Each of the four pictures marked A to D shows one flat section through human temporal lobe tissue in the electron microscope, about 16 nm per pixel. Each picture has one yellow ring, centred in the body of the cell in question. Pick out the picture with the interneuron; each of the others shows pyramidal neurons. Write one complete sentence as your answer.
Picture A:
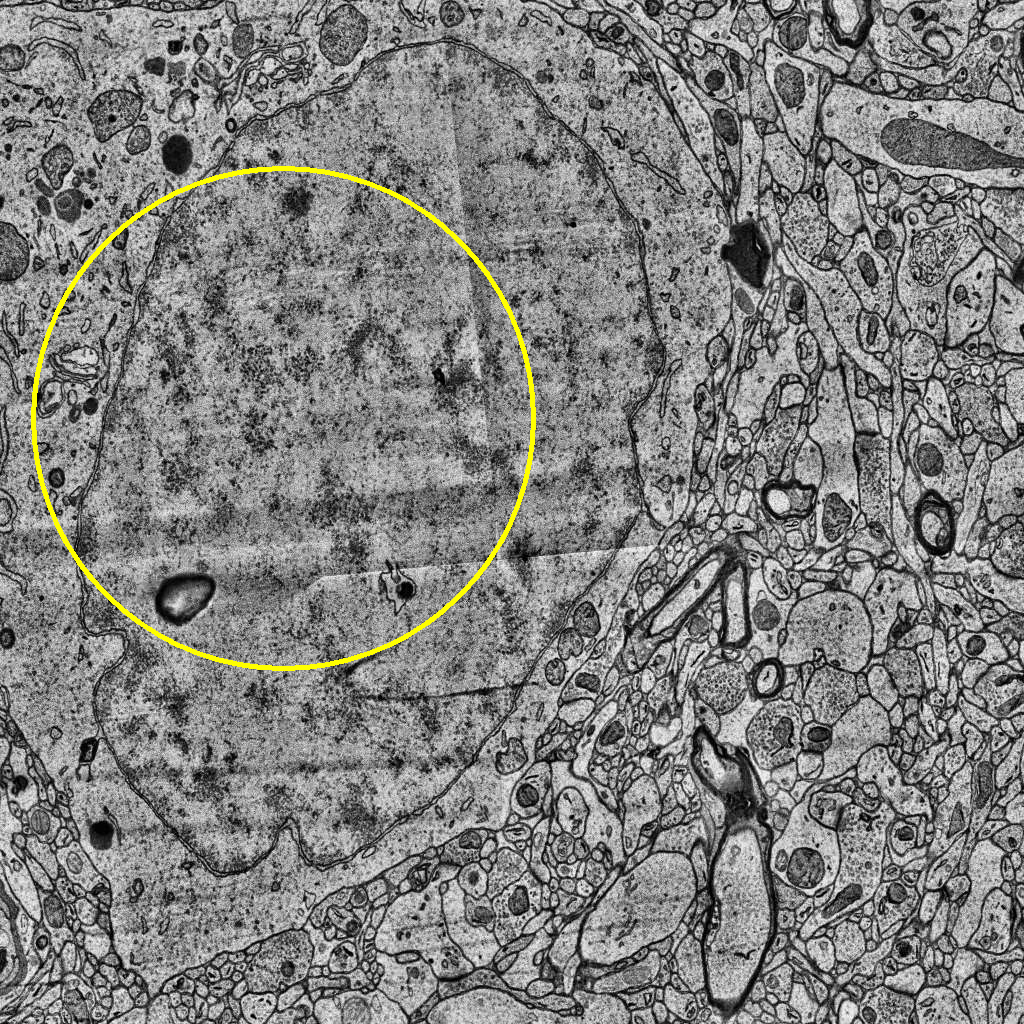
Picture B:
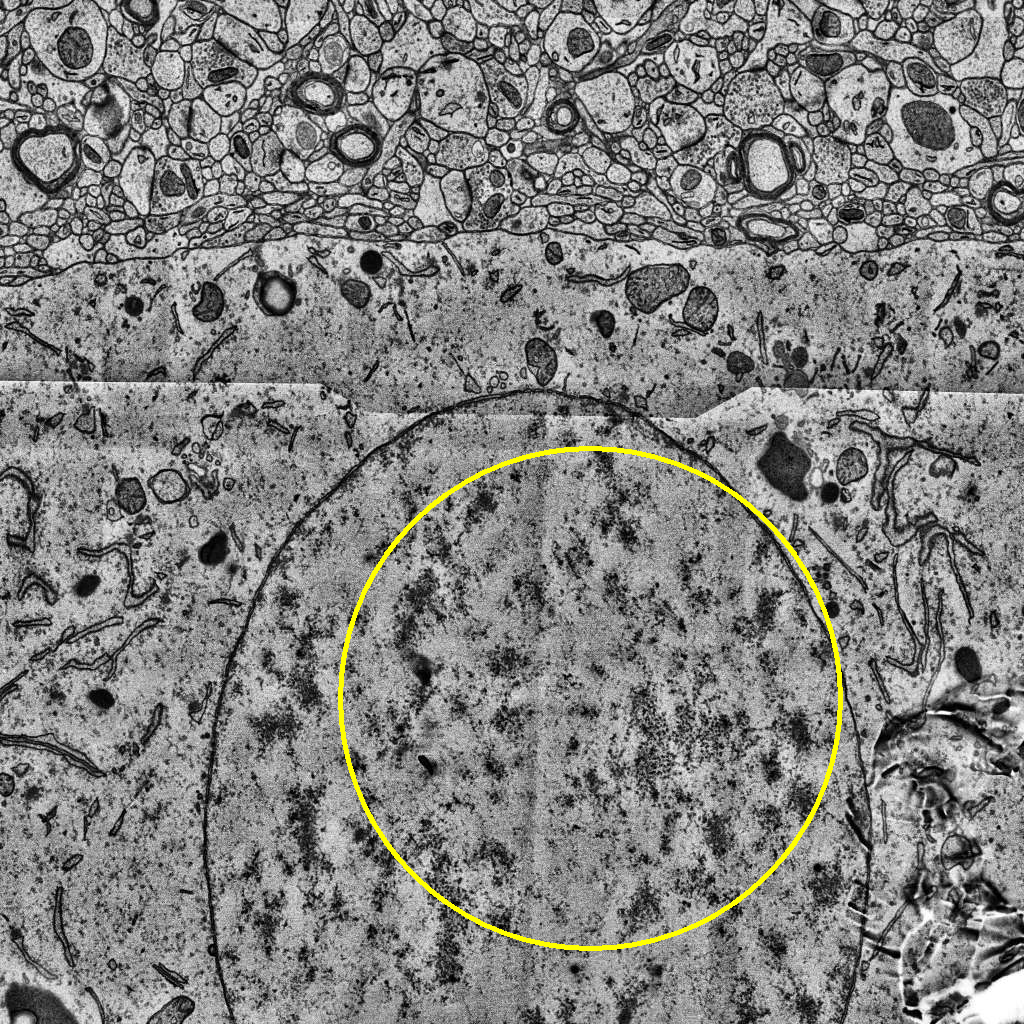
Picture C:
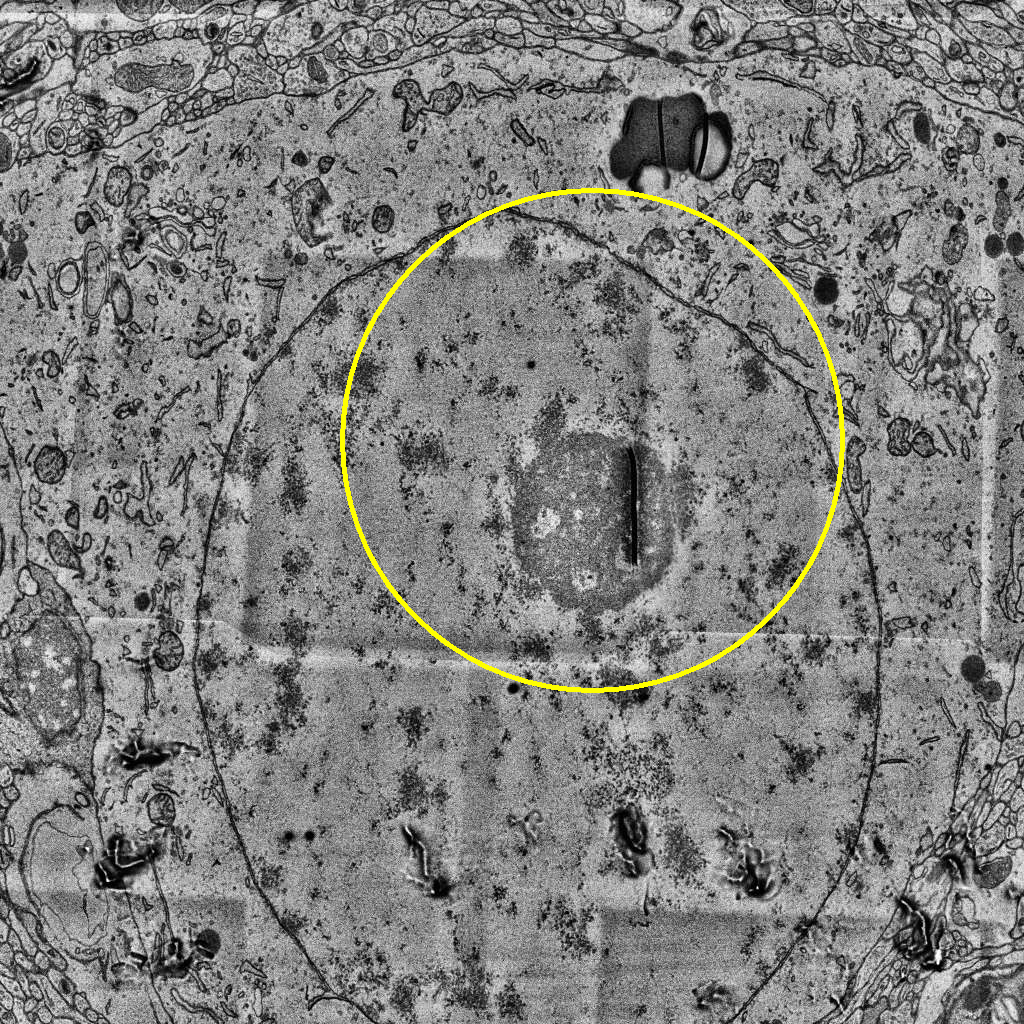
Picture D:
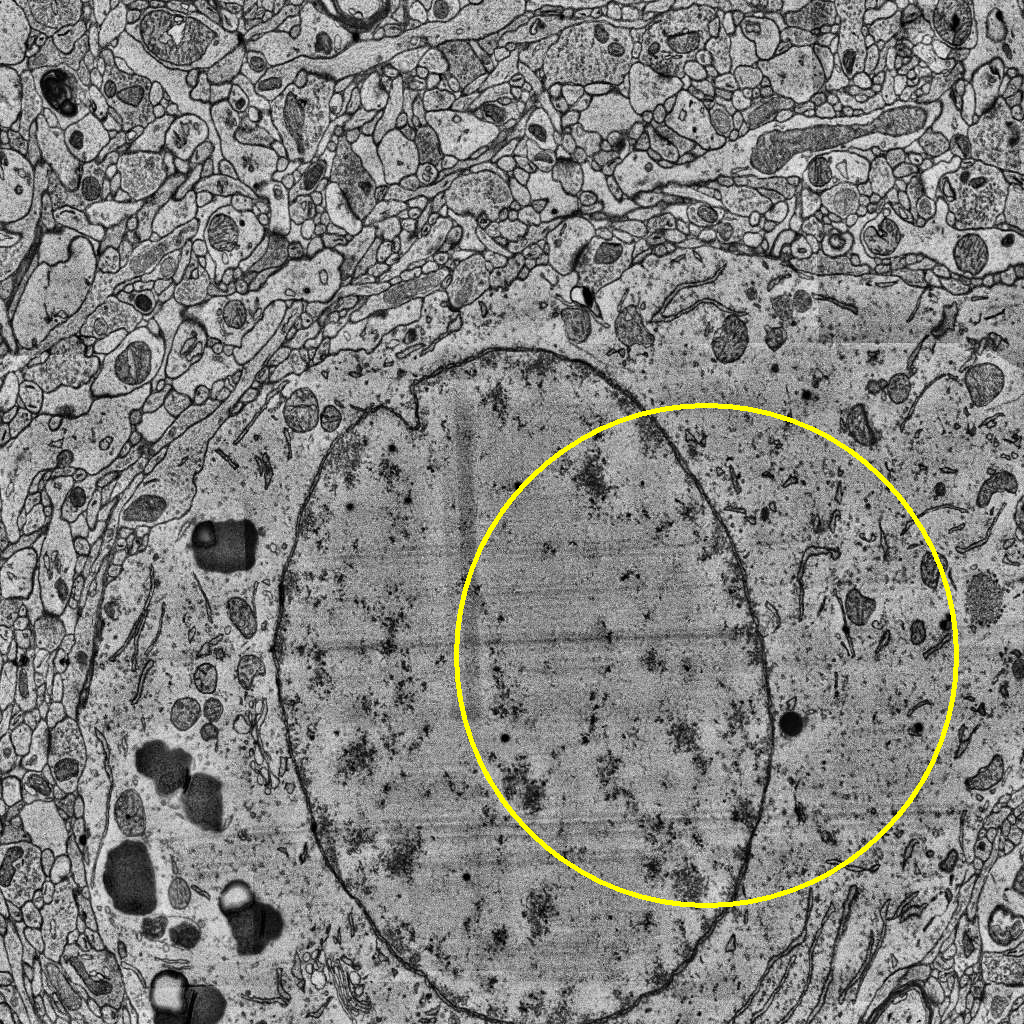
The interneuron is the one in picture A.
